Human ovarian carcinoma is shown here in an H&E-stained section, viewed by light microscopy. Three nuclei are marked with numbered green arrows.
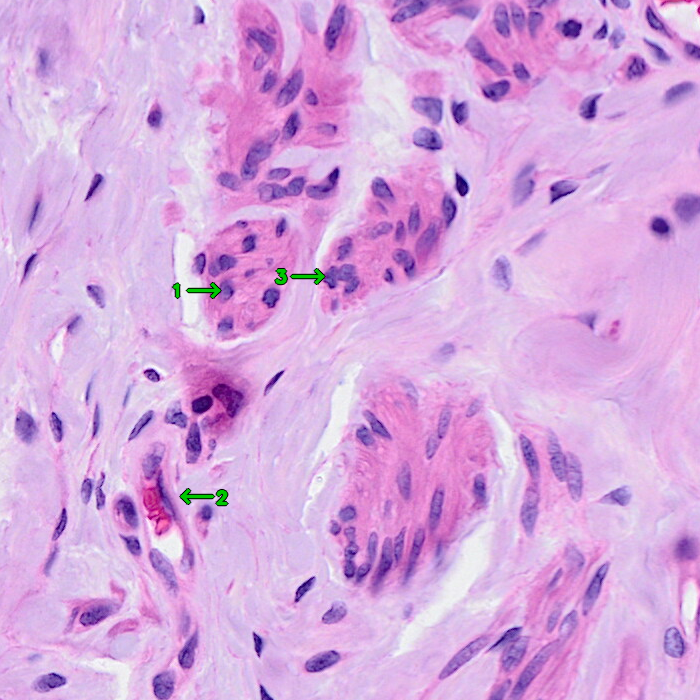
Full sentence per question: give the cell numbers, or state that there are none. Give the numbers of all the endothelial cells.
The cell labelled 2 is an endothelial cell, while the remaining numbered cells are not.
